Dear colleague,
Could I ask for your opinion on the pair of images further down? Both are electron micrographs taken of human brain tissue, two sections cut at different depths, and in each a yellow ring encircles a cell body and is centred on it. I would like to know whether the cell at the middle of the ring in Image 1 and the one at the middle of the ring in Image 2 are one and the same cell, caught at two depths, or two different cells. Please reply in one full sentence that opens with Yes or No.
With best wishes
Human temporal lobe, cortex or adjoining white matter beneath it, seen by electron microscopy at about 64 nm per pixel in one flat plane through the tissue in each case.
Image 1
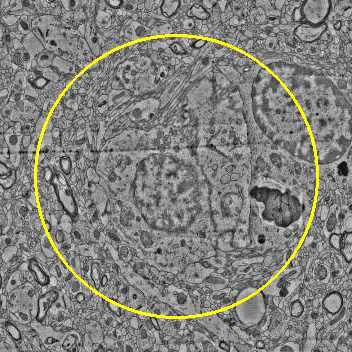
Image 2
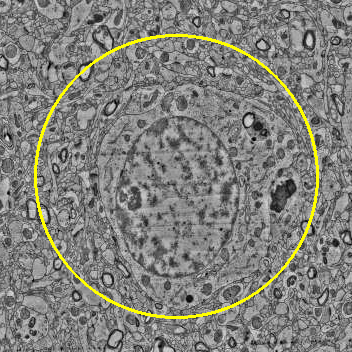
Yes, the same cell has been marked in both yellow rings.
